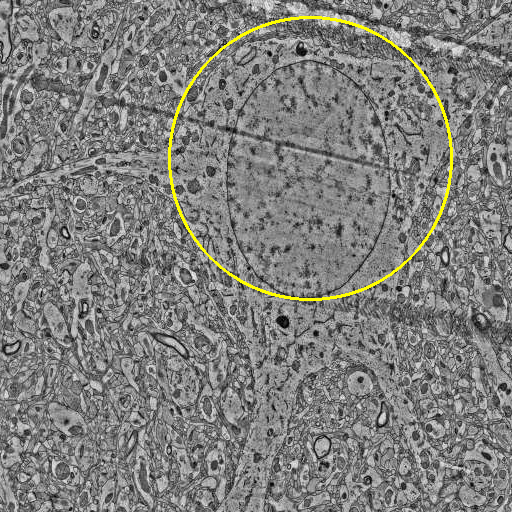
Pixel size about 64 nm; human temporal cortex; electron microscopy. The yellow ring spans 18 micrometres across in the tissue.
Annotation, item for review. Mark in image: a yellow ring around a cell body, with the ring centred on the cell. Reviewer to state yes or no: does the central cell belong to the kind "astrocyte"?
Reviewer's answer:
no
